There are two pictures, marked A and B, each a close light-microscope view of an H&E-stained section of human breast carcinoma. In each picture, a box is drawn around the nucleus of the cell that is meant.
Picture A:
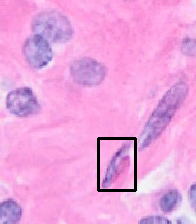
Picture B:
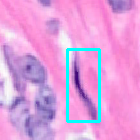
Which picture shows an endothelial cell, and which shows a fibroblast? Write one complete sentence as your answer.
It is picture A that shows an endothelial cell, and picture B that shows a fibroblast.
